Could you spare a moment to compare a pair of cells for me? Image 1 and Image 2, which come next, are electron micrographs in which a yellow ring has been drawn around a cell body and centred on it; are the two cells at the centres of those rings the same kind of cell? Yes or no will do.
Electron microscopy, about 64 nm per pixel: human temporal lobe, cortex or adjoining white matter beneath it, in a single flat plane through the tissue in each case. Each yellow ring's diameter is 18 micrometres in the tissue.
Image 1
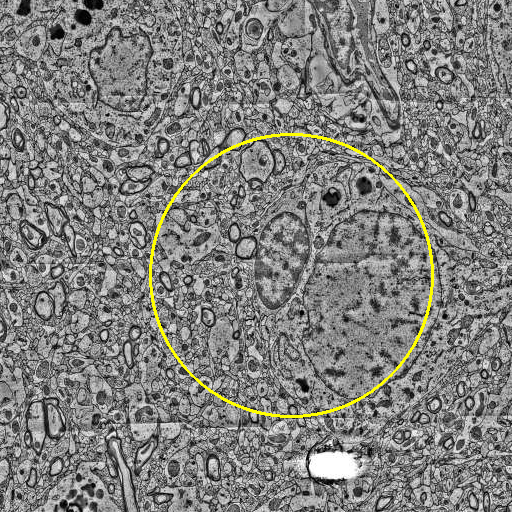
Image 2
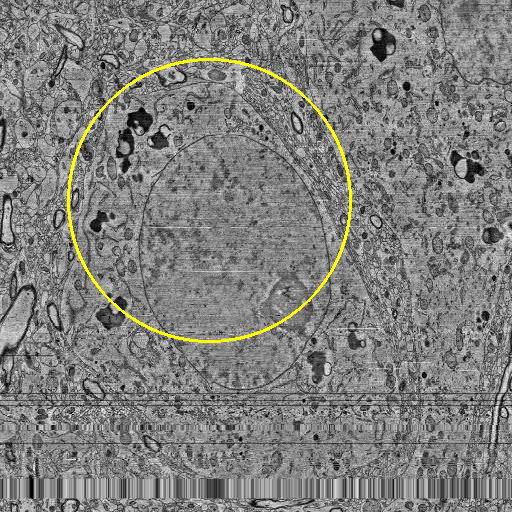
no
